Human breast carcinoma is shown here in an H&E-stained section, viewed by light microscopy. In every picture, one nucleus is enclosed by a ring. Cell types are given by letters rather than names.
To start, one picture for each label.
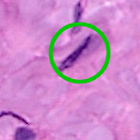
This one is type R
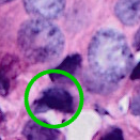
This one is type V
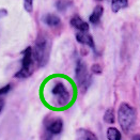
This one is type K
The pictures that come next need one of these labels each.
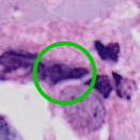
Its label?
type V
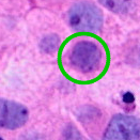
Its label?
type V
